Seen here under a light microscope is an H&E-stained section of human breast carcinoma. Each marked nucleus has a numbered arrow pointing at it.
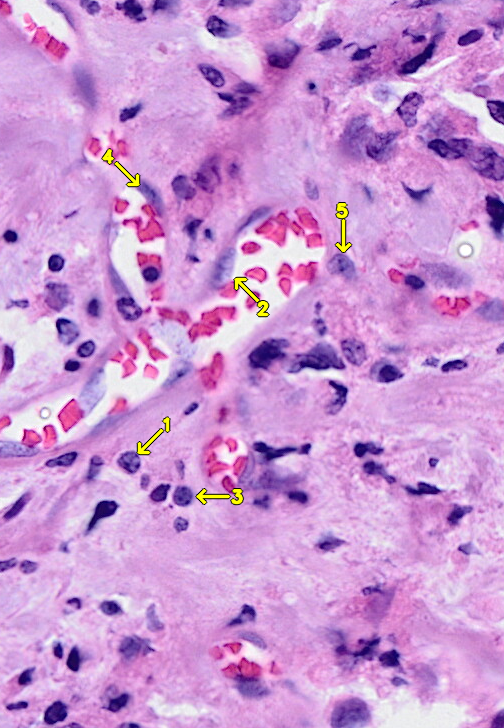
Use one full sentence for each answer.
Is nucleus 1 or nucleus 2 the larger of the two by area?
Nucleus 2 covers more area, about 1.5 times as much as nucleus 1.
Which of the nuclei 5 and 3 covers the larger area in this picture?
The larger nucleus is 5, at roughly 1.5 times the area of 3.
